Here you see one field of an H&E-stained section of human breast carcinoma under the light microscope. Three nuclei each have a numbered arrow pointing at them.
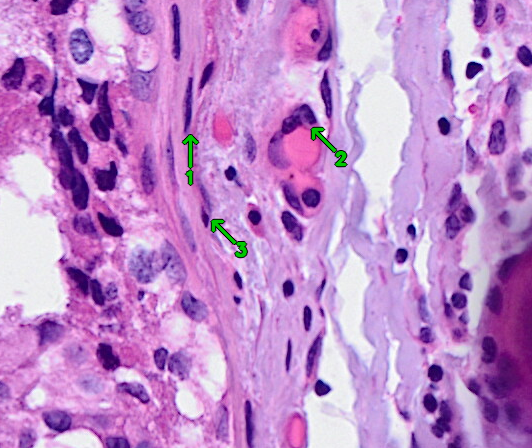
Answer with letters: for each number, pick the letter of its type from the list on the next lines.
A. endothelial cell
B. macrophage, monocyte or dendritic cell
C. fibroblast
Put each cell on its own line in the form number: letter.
1: C
2: A
3: A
